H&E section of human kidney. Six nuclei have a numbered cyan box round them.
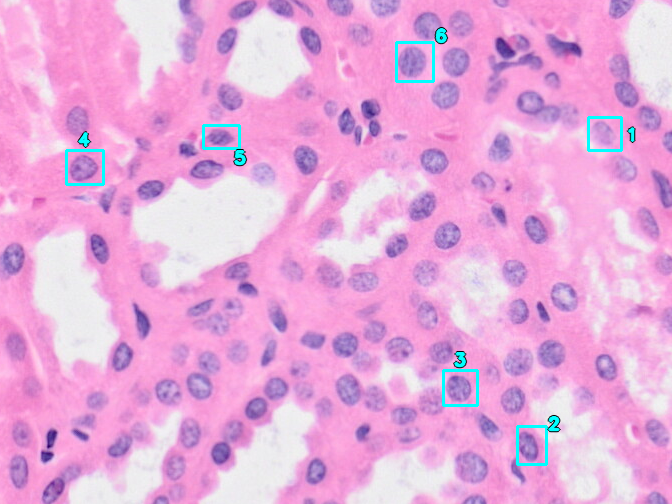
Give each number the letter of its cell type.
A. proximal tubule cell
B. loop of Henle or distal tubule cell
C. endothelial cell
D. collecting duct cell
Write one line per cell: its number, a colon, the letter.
1: B
2: B
3: B
4: A
5: C
6: B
